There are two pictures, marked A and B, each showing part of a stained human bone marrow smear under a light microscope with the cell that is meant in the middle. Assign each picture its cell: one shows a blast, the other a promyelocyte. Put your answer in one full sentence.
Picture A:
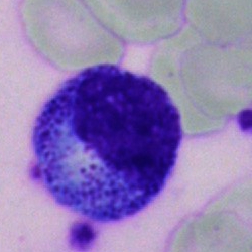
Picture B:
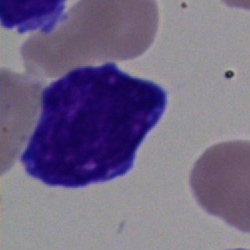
The cell in picture A is a promyelocyte, and the one in picture B is a blast.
